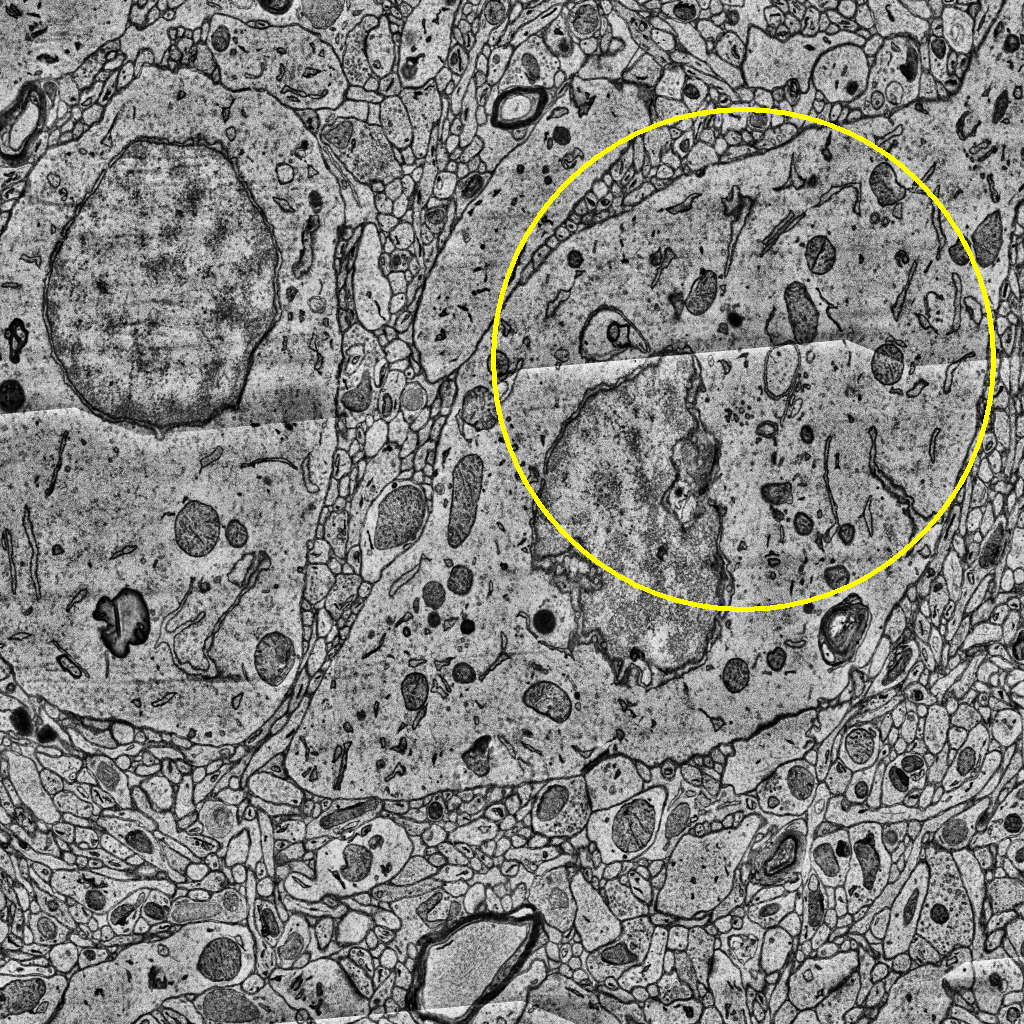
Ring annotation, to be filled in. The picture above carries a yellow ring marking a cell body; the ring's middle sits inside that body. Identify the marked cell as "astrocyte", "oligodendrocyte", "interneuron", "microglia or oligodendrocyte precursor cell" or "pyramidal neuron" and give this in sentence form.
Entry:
The cell at the middle of the ring is a pyramidal neuron.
